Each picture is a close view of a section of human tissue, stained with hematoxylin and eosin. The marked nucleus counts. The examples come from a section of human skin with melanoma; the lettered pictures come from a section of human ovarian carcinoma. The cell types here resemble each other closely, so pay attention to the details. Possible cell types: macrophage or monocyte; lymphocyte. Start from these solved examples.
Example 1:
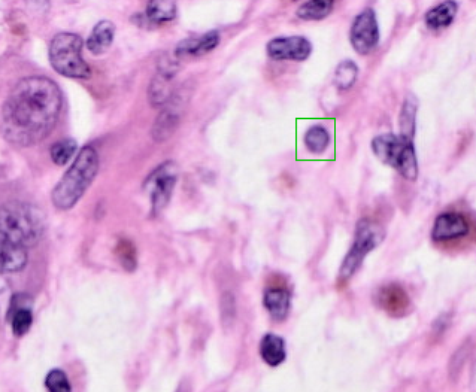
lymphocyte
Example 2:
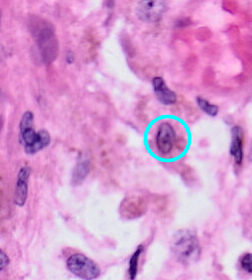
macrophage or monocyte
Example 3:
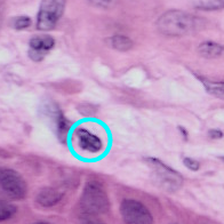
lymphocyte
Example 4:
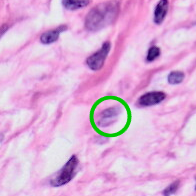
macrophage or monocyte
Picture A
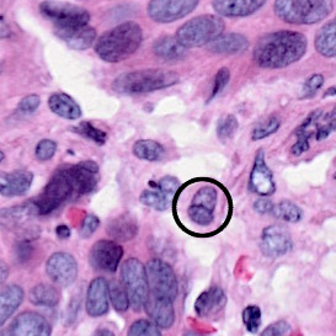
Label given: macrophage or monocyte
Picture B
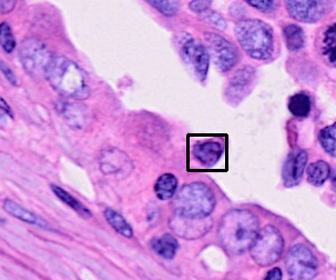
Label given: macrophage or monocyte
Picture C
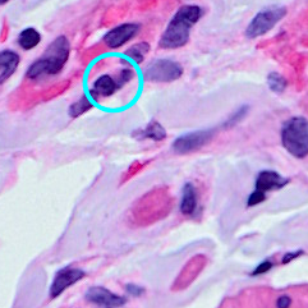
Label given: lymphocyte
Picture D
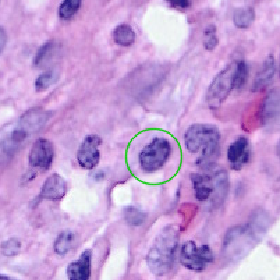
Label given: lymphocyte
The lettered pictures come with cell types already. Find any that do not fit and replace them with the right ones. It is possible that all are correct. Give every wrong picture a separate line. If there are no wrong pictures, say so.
All correct.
